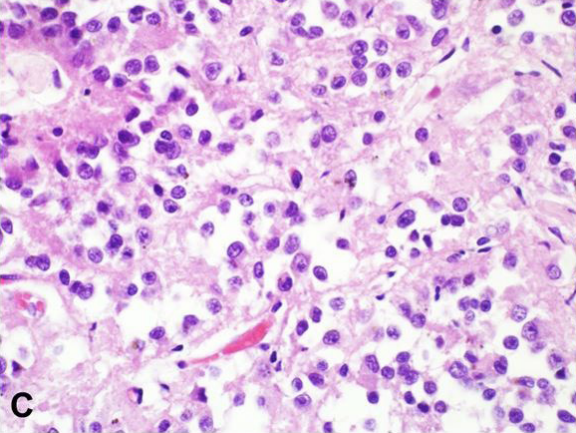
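High power view of a lesion made of round cells lying in sheets within a pale pink fibrillary background. The nuclei are round and fairly uniform, with fine chromatin, and some show a visible nucleolus. The cytoplasm is pale and scant to moderate. Thin vessels containing red blood cells run between the cells, and marked nuclear atypia is not seen.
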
